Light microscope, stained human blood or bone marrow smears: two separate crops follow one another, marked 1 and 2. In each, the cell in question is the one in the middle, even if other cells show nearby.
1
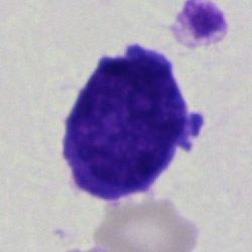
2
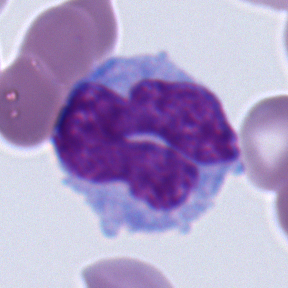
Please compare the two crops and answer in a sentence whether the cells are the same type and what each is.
No, the middle of crop 1 shows a blast, and the middle of crop 2 shows a monocyte.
